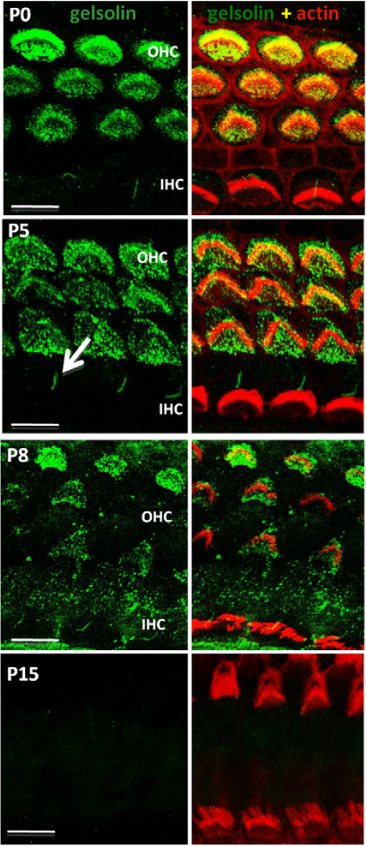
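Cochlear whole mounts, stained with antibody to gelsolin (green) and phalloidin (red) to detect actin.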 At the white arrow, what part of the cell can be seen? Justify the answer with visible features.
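The arrow points to a thin green line-like structure. The structure lies in the row beside the inner row of red bundles. The answer: kinocilia.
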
